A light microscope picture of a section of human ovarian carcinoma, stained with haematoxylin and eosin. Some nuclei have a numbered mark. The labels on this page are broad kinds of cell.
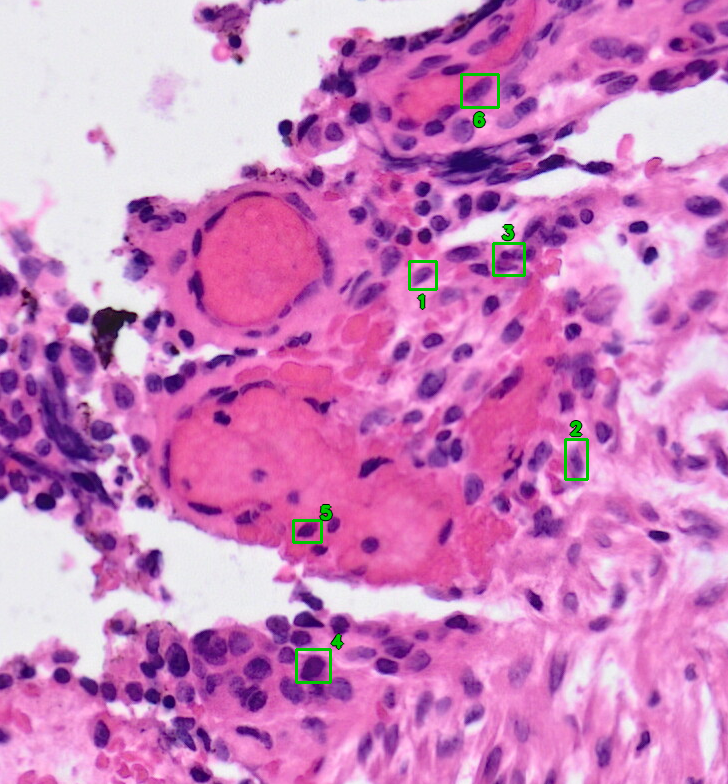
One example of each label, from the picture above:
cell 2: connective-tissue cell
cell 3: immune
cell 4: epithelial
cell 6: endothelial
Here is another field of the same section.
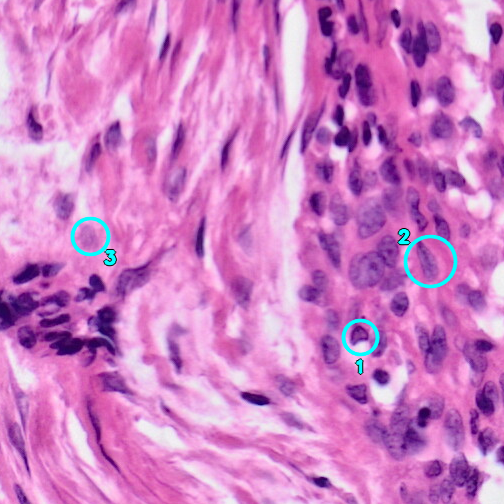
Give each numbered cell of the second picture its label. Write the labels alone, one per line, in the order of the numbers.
epithelial
endothelial
connective-tissue cell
